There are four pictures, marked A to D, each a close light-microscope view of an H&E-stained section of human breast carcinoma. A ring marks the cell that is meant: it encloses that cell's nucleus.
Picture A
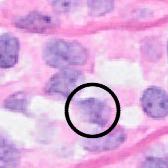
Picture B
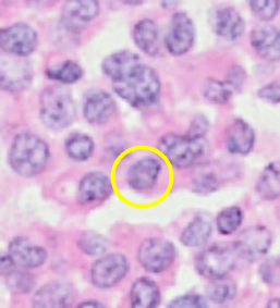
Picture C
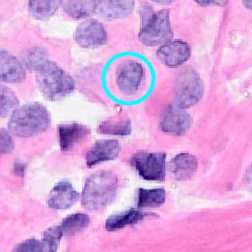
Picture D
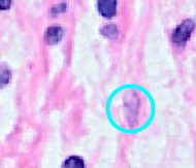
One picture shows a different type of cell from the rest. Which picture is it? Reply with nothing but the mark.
D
